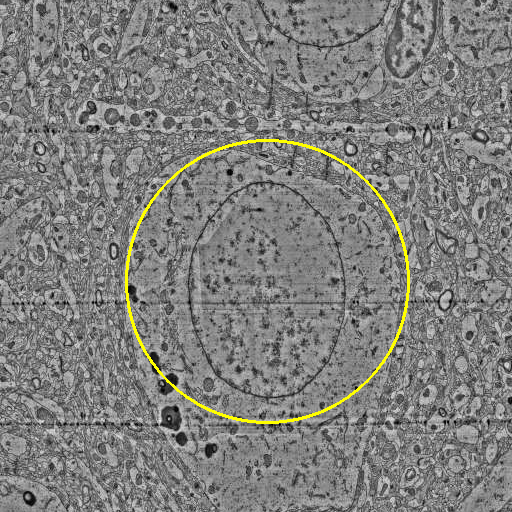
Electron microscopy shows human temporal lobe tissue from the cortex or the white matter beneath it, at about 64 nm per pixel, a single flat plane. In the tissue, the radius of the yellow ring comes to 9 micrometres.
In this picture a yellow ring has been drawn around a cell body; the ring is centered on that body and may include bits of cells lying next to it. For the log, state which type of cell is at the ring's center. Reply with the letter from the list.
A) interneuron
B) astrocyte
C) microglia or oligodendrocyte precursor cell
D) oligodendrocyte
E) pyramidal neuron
E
